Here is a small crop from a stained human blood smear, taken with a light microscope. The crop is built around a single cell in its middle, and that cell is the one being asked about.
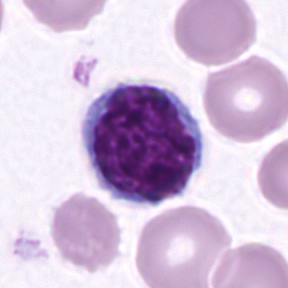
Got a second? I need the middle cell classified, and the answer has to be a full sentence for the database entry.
The single cell at the center of the crop is a plasma cell.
